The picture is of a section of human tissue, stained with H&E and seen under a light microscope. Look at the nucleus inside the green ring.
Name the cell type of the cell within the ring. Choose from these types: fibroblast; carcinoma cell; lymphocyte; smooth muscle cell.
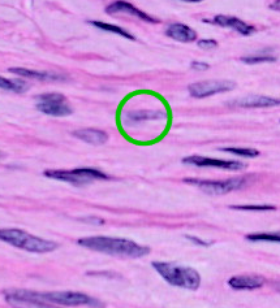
smooth muscle cell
